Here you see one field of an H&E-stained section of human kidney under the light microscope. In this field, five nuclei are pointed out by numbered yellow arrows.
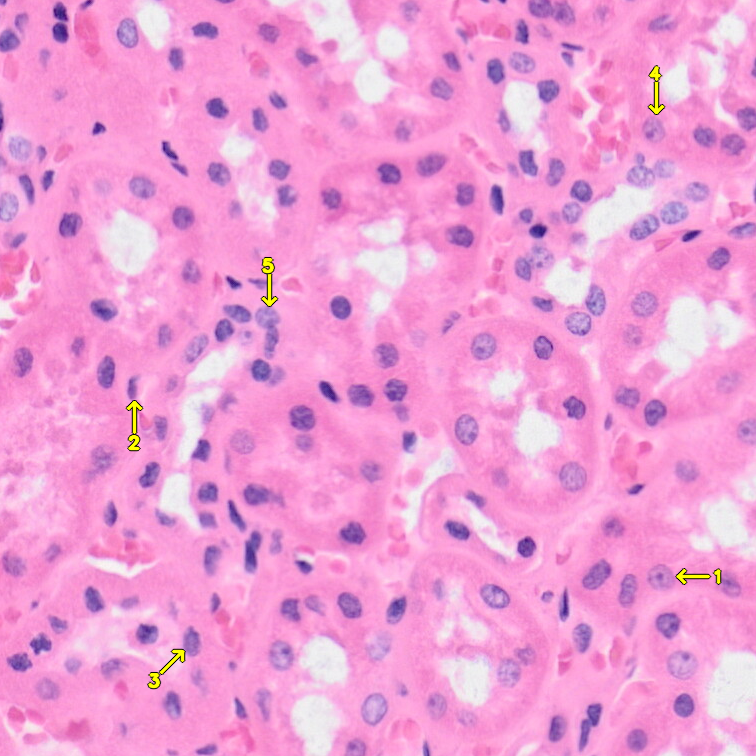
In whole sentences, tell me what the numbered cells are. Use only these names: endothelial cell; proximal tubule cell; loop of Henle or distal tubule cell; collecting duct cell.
Cells 1 and 4 are proximal tubule cells. Cell 2 is an endothelial cell. Cell 3 is a loop of Henle or distal tubule cell. Cell 5 is a collecting duct cell.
